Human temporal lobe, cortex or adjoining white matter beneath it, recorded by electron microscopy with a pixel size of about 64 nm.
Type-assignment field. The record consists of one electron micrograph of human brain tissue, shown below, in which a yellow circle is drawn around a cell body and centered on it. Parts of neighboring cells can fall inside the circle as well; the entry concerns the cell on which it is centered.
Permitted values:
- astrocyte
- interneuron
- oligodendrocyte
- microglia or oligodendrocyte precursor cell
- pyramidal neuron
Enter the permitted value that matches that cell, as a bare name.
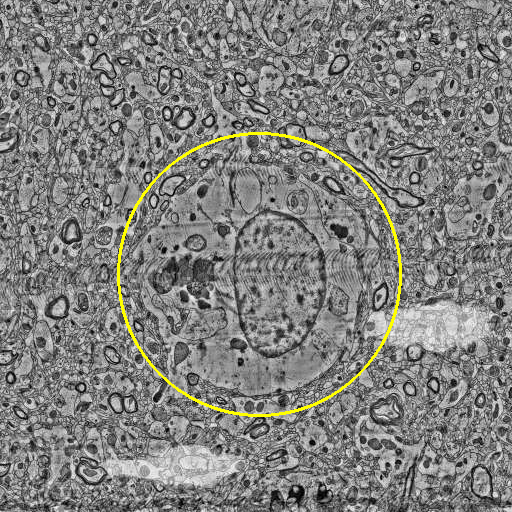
astrocyte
